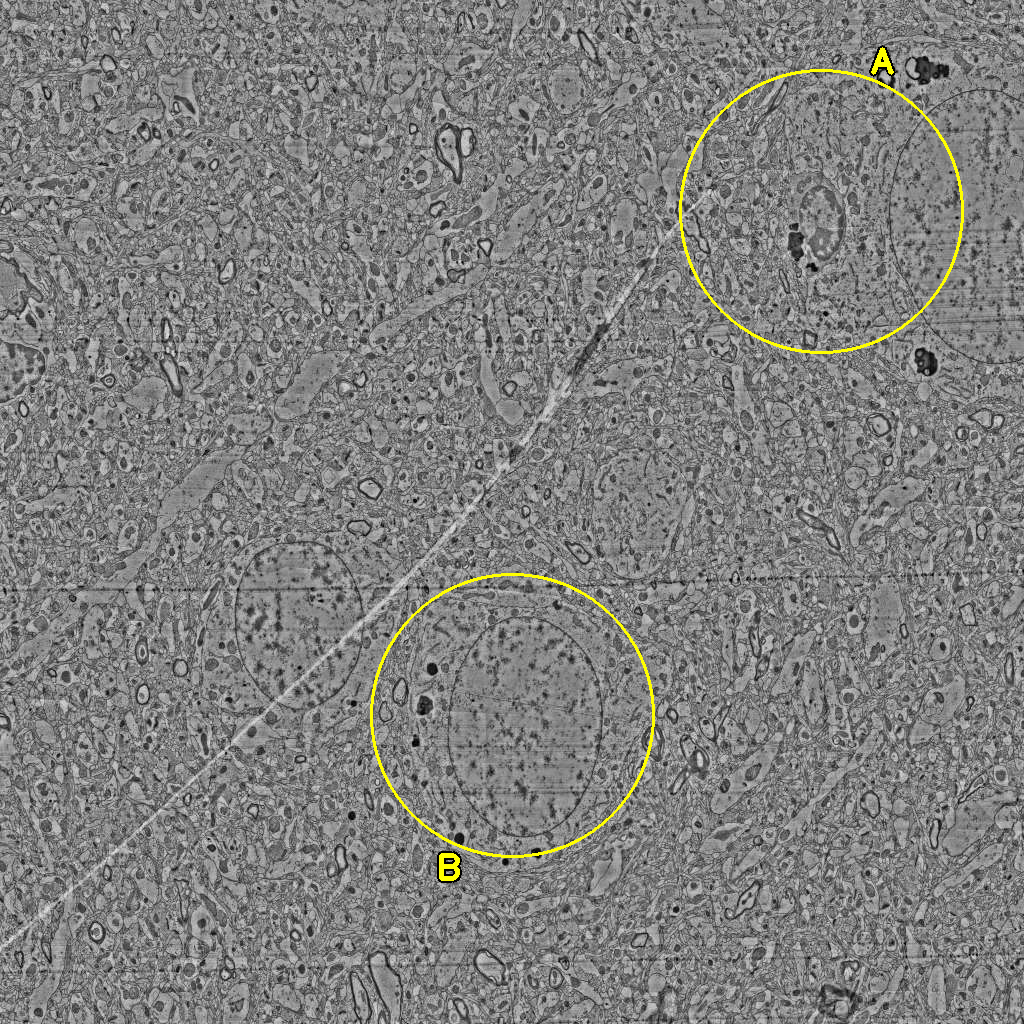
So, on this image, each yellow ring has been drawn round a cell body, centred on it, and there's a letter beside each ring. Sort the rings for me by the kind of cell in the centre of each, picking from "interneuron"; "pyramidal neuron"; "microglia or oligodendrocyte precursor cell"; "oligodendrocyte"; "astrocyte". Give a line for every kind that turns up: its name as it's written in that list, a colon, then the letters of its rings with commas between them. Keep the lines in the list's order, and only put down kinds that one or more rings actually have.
pyramidal neuron: B
oligodendrocyte: A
